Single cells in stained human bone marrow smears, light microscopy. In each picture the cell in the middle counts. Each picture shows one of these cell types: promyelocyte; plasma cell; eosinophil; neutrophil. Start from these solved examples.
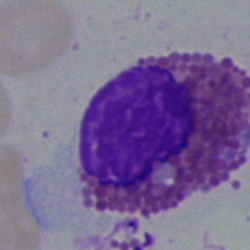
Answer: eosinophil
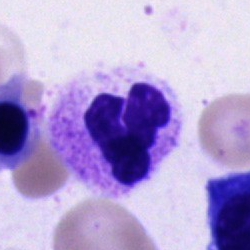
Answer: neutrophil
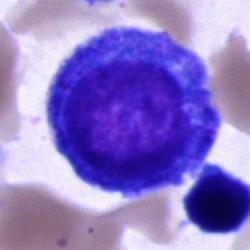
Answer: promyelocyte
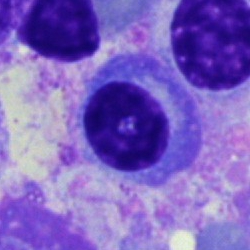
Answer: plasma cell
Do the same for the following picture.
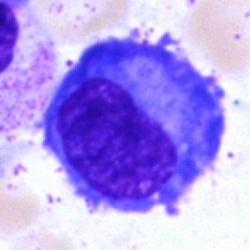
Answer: plasma cell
